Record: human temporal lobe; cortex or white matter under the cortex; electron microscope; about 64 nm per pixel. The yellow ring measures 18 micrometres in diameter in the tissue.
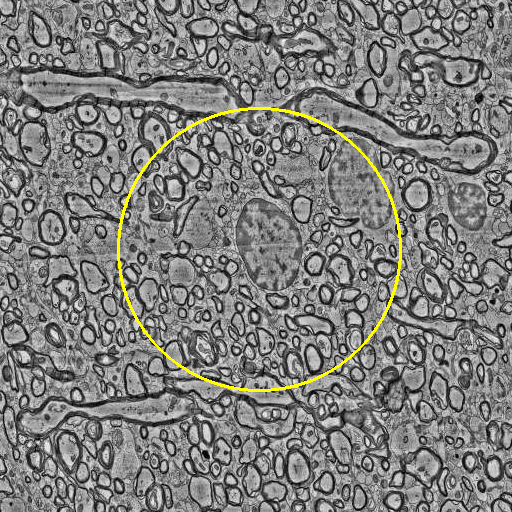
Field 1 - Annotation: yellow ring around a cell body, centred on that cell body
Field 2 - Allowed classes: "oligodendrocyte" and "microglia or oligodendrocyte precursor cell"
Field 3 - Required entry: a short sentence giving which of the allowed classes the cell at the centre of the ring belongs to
The centred cell is a microglial cell or oligodendrocyte precursor cell.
